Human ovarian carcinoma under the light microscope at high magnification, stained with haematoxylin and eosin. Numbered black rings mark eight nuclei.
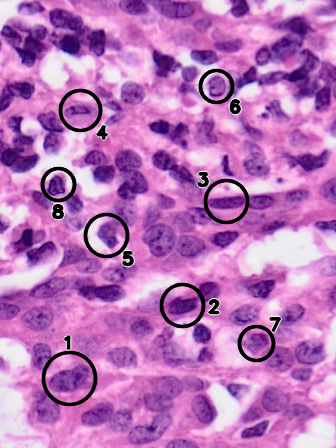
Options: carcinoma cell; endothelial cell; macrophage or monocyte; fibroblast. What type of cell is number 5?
carcinoma cell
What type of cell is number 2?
carcinoma cell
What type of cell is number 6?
macrophage or monocyte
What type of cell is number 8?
carcinoma cell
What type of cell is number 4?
macrophage or monocyte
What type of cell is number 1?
carcinoma cell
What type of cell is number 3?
carcinoma cell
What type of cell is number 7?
macrophage or monocyte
